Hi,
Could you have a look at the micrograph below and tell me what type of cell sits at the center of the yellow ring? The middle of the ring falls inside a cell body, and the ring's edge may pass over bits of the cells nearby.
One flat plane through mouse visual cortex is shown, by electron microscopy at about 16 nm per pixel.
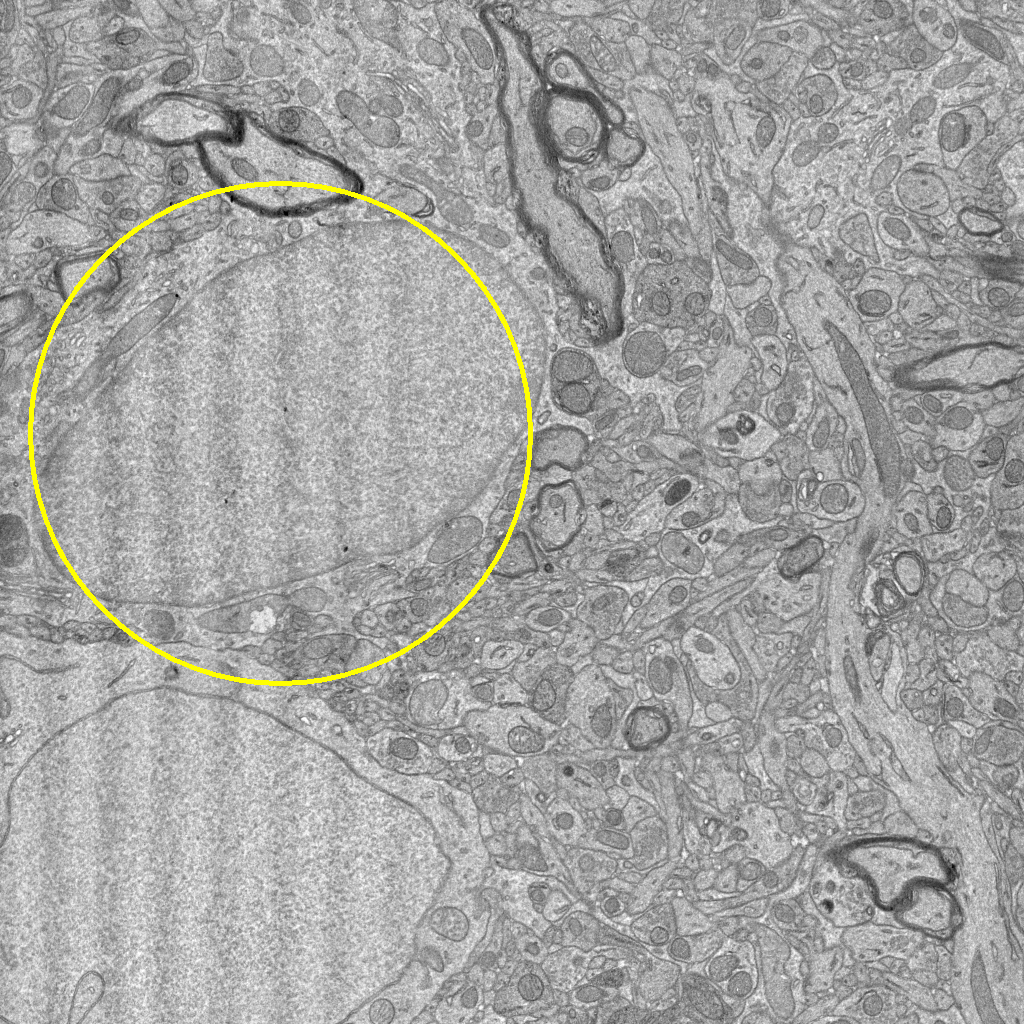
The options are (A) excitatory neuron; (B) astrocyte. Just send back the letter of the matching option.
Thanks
B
